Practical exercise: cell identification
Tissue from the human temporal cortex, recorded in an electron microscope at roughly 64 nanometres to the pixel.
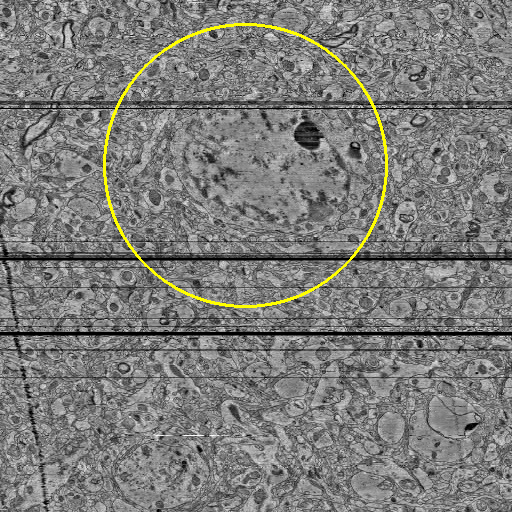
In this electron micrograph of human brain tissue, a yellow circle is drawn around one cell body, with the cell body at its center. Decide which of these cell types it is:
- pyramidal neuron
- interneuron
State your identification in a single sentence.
The ringed cell is an interneuron.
